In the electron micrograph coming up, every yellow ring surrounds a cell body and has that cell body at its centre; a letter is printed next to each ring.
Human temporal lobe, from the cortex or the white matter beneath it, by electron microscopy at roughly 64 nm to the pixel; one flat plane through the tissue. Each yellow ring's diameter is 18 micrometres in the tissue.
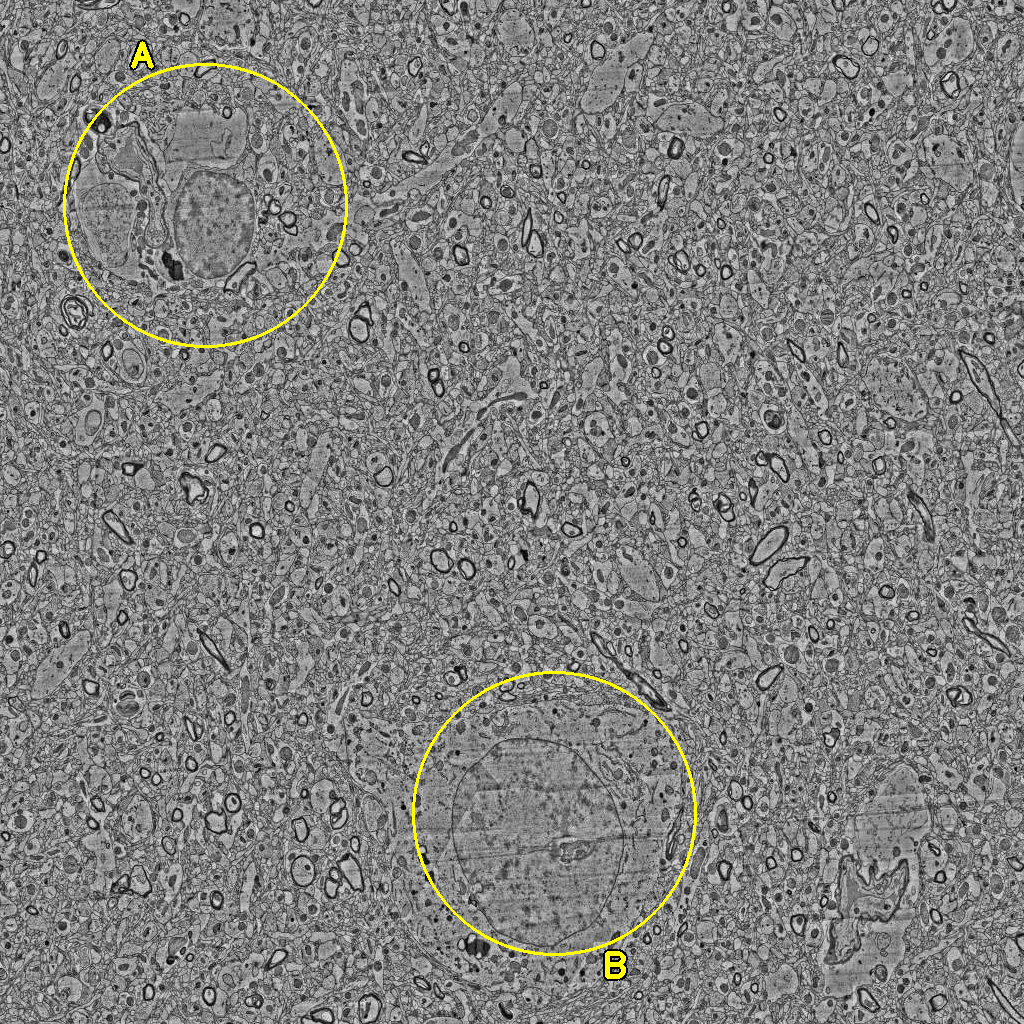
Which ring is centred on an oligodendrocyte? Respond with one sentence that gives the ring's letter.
Ring A is the one whose centre sits on the cell asked for in the picture.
